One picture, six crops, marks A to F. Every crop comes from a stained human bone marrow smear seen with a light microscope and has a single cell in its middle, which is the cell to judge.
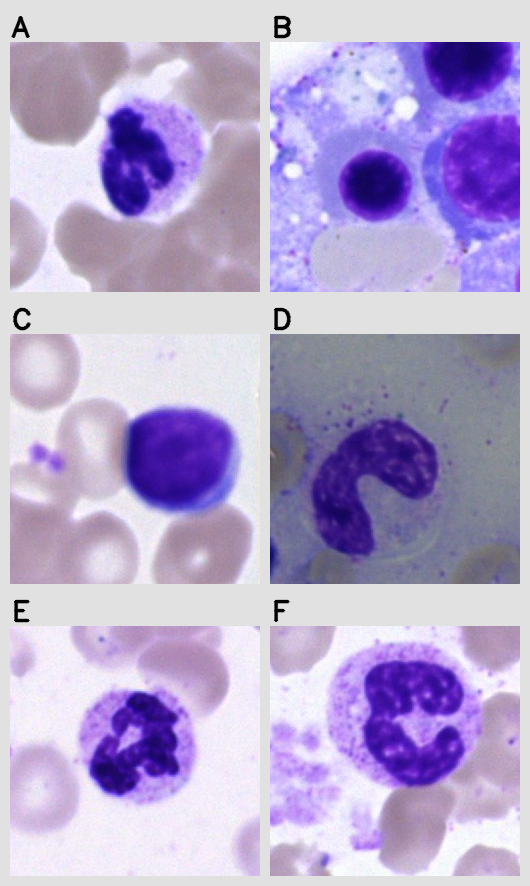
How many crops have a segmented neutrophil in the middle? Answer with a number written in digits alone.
3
